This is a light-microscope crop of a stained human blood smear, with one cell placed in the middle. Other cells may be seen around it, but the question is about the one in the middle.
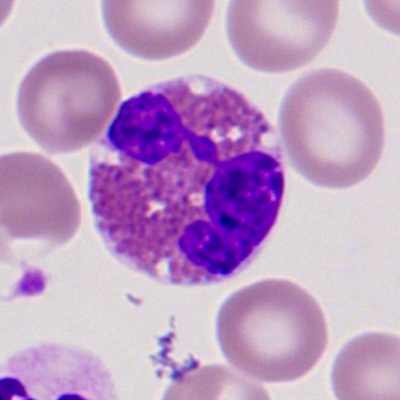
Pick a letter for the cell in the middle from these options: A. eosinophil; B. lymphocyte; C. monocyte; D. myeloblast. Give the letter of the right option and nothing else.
A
